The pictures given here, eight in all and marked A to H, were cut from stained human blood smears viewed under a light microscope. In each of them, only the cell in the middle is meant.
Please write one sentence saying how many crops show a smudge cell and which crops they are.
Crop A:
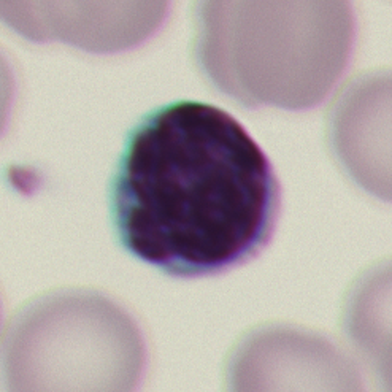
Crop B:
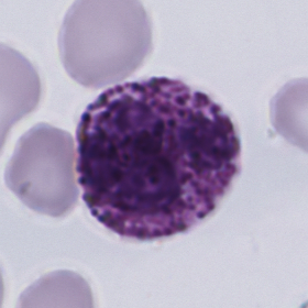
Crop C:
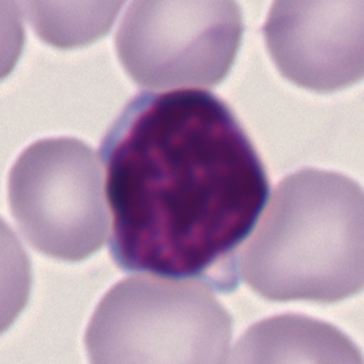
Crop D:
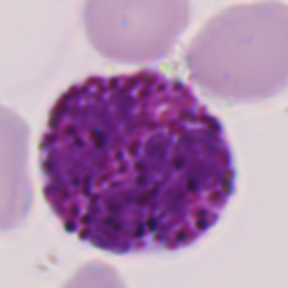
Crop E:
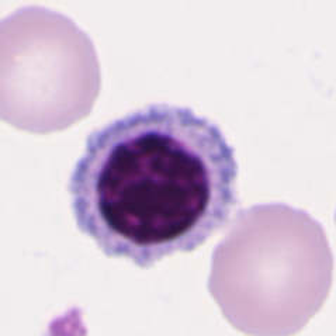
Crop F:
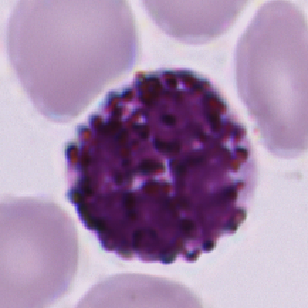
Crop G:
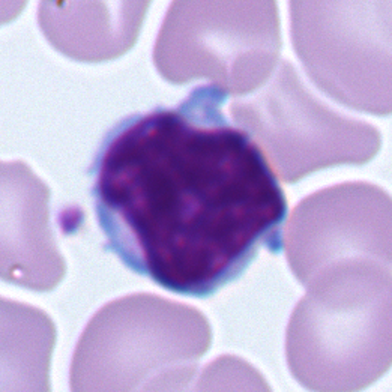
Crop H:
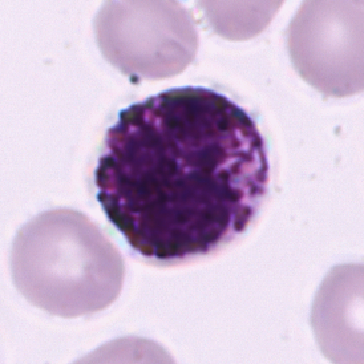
Among the crops, none shows smudge cells, and the count is zero.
